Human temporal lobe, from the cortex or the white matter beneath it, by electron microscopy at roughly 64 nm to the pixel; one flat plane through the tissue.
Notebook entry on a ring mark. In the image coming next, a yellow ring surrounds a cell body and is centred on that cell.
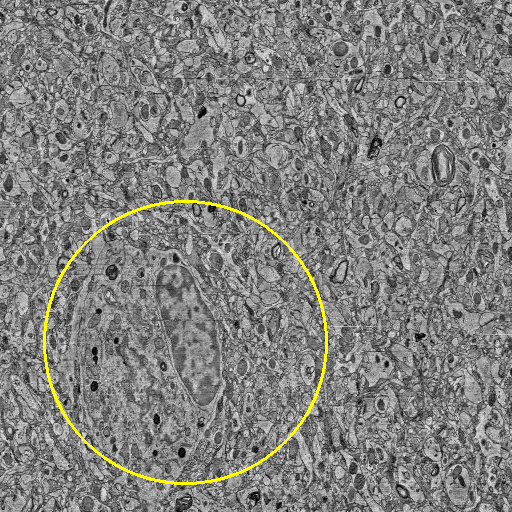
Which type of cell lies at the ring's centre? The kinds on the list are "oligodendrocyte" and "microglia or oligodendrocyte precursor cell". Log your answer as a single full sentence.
Centred in the yellow ring is a microglial cell or oligodendrocyte precursor cell, the cell recorded for this image.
